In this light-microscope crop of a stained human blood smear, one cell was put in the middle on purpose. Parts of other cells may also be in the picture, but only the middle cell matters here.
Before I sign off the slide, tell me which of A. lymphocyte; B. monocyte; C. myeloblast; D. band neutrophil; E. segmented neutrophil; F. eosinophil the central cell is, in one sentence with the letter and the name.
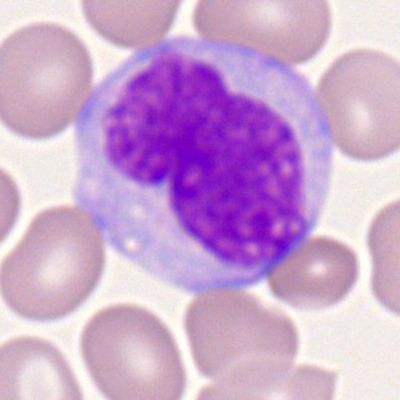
Of the options given, B is correct, the central cell being a monocyte.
